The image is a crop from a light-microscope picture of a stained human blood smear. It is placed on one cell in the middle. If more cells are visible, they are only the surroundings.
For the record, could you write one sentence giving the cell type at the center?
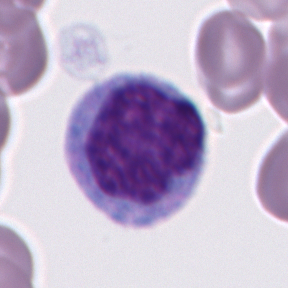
The middle of this crop is occupied by a monocyte.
